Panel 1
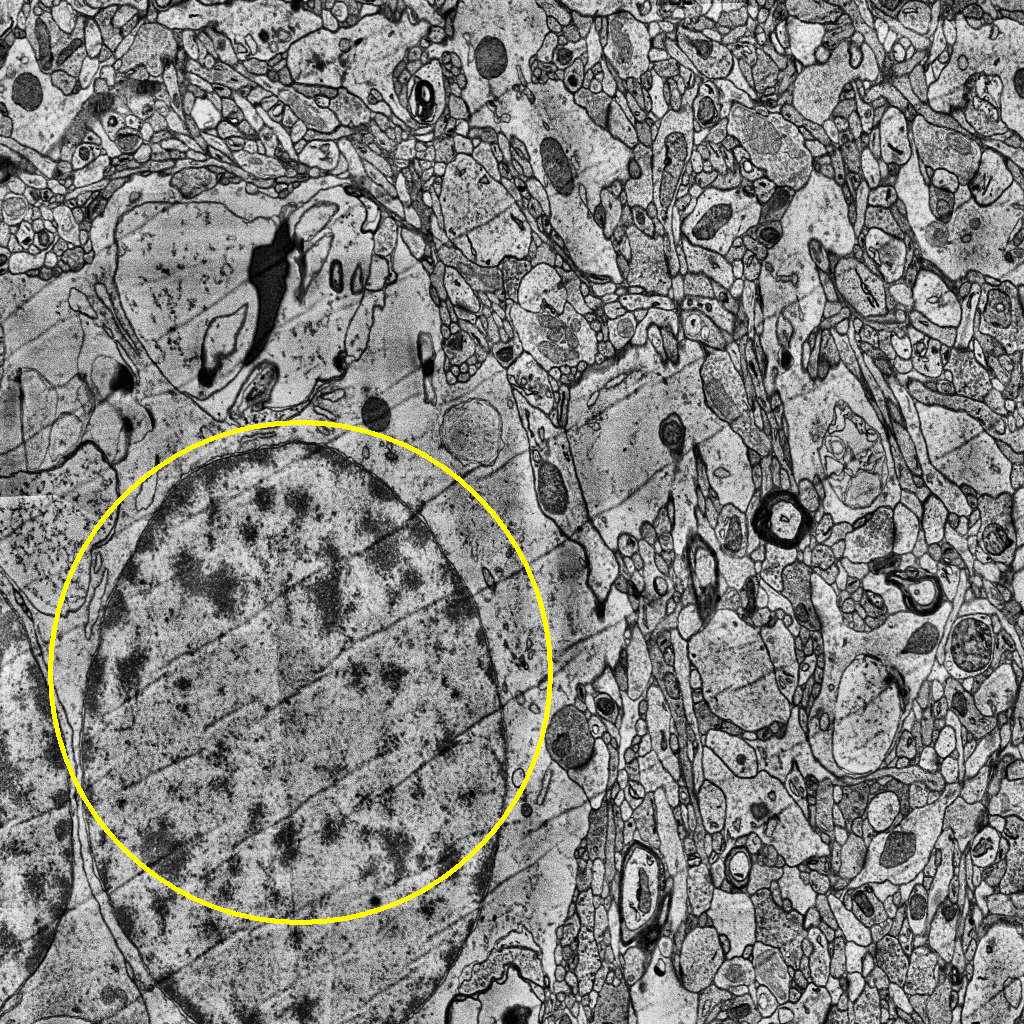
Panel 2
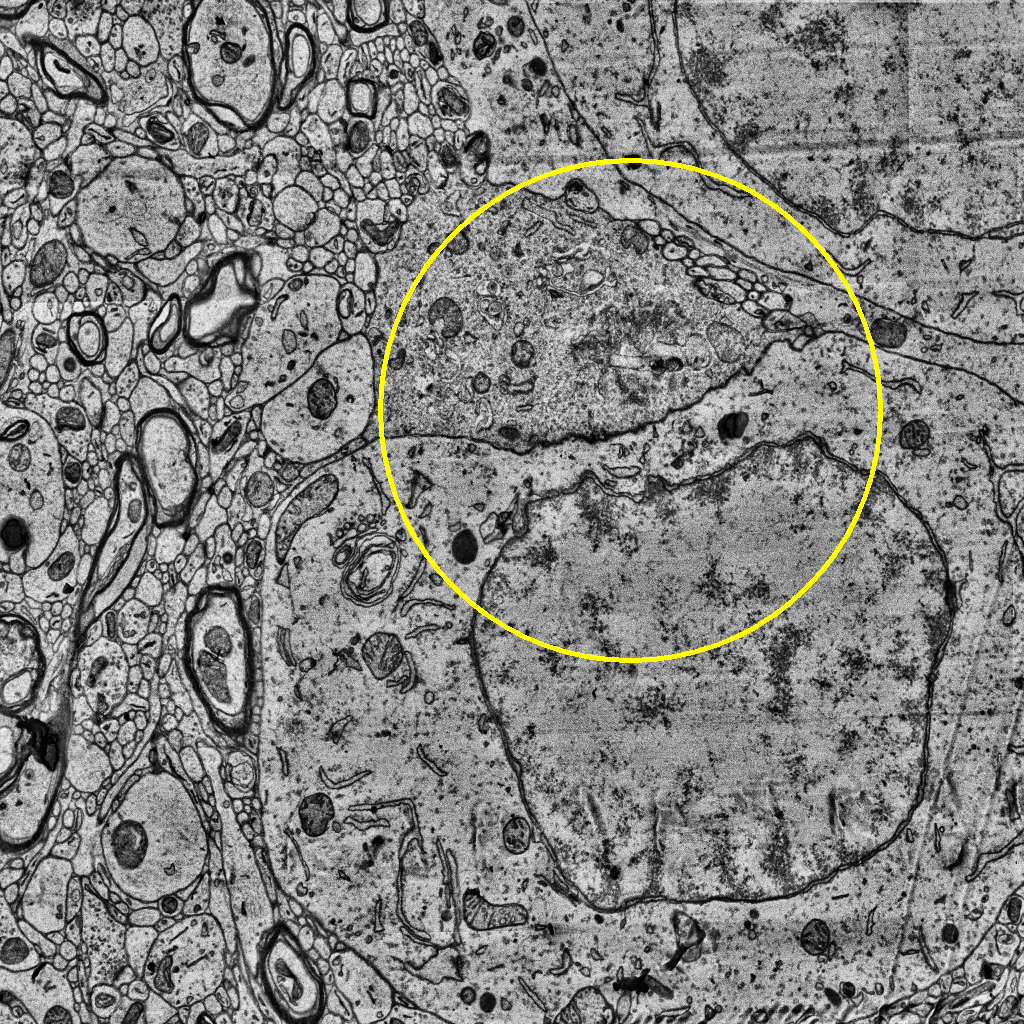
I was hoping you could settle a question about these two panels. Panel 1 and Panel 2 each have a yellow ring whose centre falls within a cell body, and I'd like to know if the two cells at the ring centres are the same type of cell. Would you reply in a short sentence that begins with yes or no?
No, they are two types of cell.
